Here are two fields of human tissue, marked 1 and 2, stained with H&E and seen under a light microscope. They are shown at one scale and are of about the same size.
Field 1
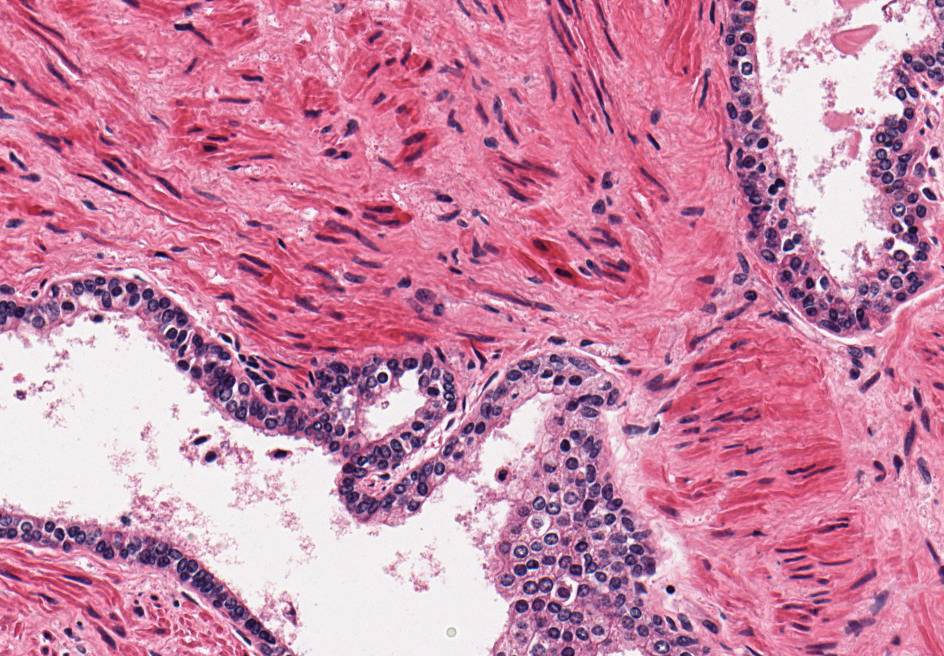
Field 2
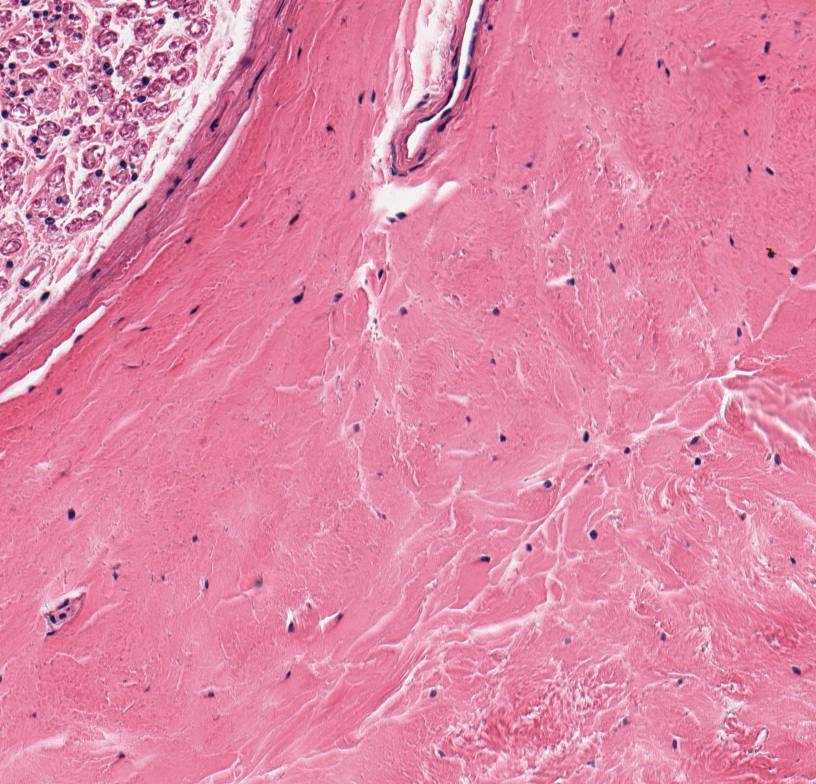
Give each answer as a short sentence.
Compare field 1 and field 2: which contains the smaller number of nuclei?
There are fewer nuclei in field 2.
